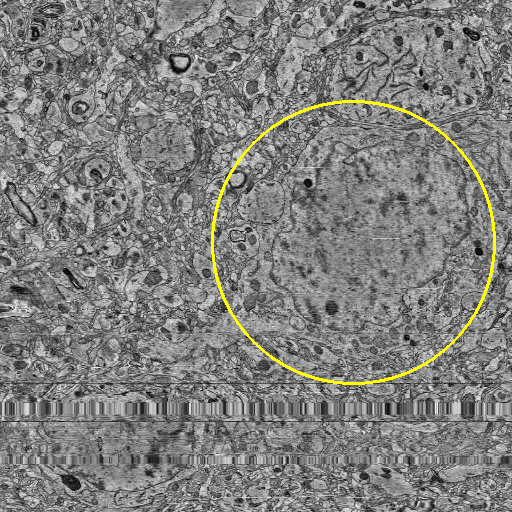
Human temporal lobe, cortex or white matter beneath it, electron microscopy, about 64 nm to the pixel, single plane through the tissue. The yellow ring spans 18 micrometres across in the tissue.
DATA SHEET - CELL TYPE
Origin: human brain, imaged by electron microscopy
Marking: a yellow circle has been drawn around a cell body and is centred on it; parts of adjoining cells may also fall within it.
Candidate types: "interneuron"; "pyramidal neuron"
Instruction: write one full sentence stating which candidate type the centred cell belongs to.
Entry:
The cell body at the centre of the yellow ring in this micrograph belongs to an interneuron.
